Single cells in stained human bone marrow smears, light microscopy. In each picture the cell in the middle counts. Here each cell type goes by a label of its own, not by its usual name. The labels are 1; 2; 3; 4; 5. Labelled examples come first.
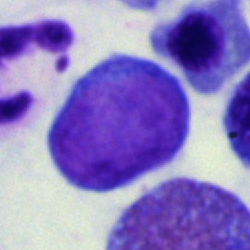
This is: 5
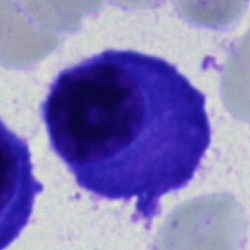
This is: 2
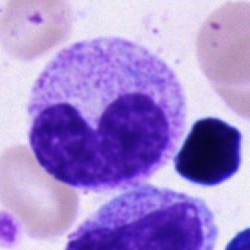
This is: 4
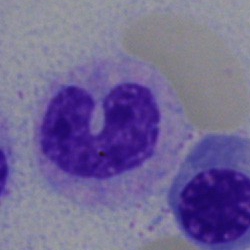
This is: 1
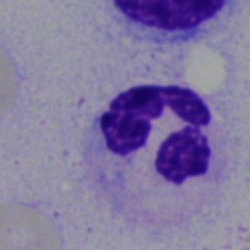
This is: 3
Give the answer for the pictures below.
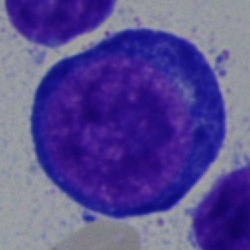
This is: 5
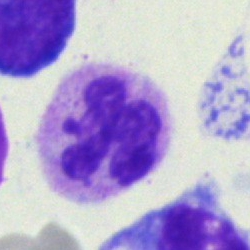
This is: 3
